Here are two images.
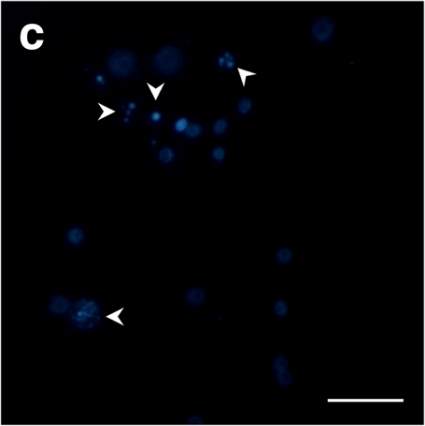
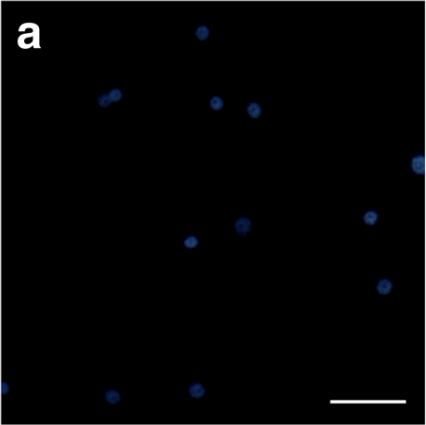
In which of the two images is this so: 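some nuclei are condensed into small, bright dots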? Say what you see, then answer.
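First image: several small, intensely bright blue dots lie among the round nuclei. Second image: all nuclei are round, of similar size and evenly, dimly stained.
The first image.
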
